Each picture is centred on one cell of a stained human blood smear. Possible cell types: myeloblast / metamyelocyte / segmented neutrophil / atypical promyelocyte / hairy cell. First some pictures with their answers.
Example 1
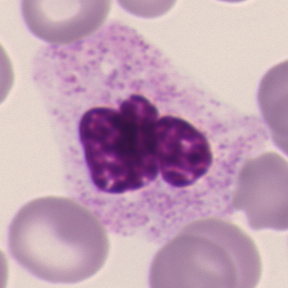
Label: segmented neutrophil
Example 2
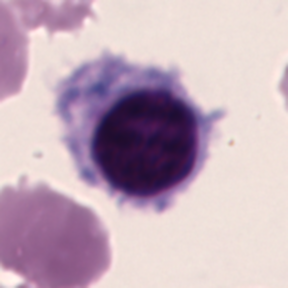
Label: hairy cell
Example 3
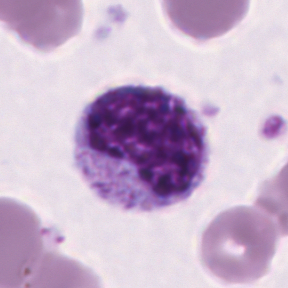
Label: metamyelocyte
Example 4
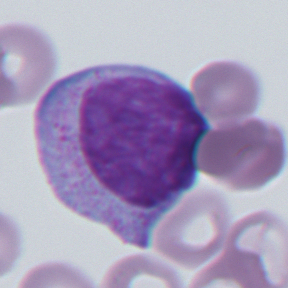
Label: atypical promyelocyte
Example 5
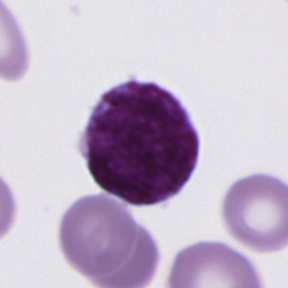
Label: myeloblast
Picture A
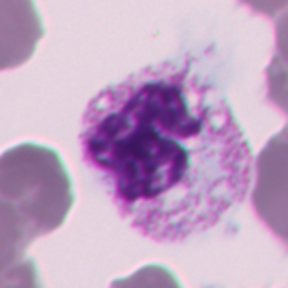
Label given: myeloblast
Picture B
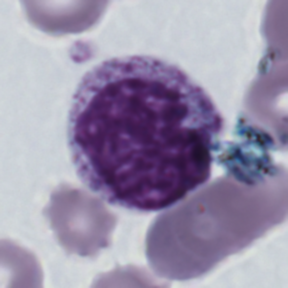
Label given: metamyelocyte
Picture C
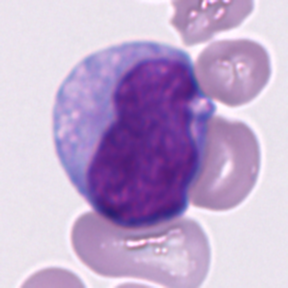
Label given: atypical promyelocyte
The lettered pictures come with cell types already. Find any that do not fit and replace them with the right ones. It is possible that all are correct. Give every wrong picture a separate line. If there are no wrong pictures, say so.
A is labelled myeloblast; correct label: segmented neutrophil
